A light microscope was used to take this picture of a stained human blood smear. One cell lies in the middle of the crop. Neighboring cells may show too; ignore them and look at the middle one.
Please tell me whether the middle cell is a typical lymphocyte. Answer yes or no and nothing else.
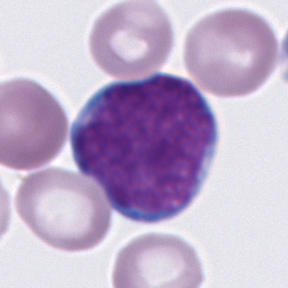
no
